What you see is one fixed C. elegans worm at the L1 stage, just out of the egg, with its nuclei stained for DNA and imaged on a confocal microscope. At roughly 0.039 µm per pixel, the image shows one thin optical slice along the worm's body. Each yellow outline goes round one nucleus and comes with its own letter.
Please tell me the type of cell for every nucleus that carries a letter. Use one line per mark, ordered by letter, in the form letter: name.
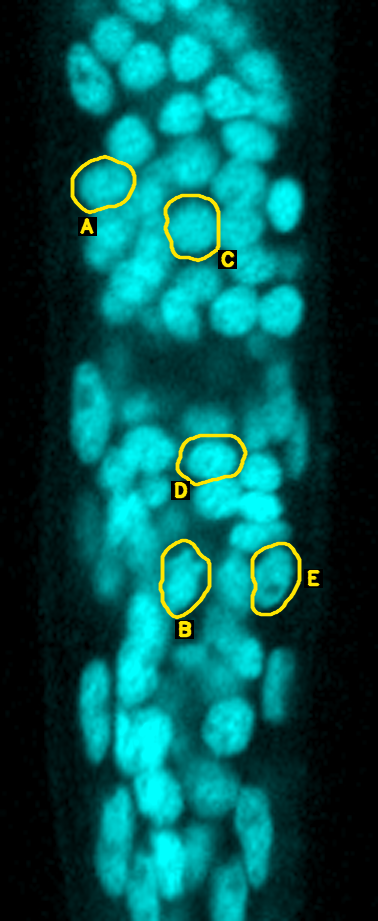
A: neuron
B: pharyngeal muscle cell
C: neuron
D: neuron
E: body wall muscle cell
